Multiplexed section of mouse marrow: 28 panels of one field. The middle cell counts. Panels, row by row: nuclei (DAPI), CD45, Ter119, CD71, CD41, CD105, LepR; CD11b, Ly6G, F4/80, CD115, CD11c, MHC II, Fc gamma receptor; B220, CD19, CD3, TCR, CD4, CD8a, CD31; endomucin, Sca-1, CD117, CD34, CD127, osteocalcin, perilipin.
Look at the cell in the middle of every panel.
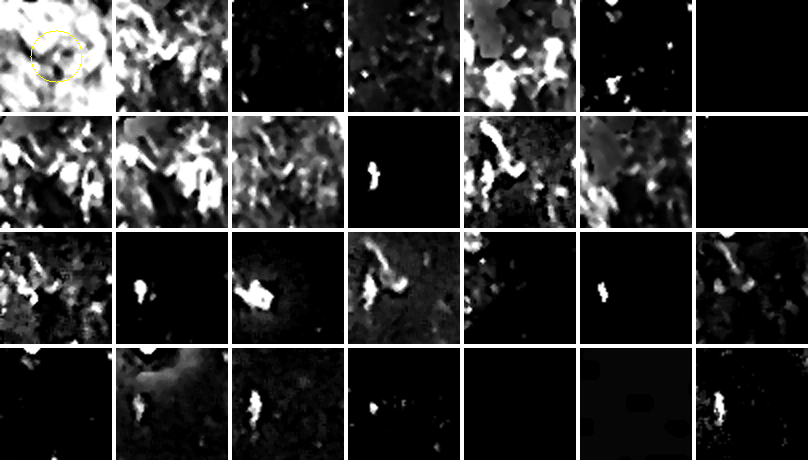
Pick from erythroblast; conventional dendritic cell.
conventional dendritic cell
